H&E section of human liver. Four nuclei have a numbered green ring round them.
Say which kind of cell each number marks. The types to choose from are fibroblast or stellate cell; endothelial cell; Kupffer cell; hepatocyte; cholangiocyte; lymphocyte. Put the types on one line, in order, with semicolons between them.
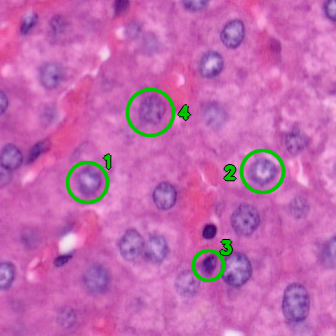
hepatocyte; hepatocyte; fibroblast or stellate cell; hepatocyte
